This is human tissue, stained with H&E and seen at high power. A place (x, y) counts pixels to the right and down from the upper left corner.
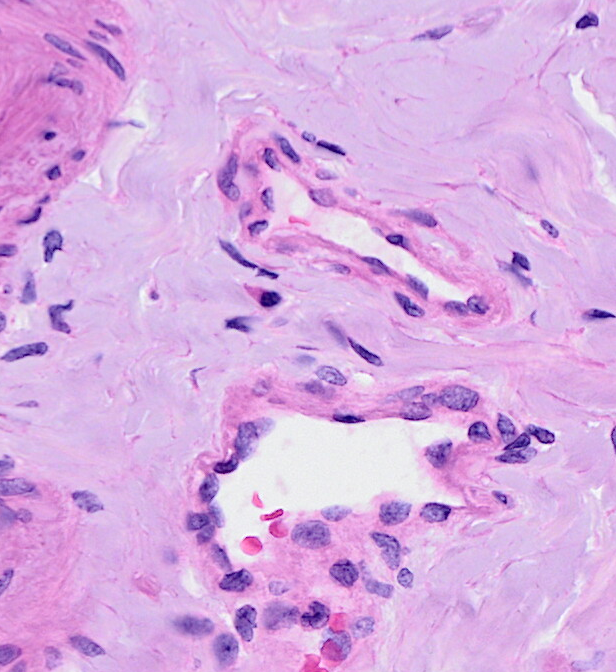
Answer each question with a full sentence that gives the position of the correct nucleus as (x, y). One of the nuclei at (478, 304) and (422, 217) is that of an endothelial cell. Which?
It is at (478, 304) that the nucleus of an endothelial cell is found.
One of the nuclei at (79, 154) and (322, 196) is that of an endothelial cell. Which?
The nucleus contained in an endothelial cell is the one at (322, 196).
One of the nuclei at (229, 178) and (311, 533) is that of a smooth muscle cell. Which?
The nucleus at (229, 178) is the member of the pair belonging to a smooth muscle cell.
